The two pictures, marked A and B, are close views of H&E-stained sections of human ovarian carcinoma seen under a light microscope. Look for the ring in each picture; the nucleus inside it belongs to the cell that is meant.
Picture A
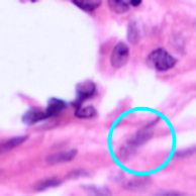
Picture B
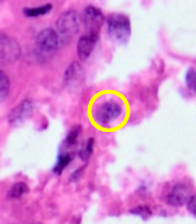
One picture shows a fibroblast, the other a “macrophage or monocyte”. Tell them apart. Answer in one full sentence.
Picture A shows a fibroblast and picture B shows a “macrophage or monocyte”.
